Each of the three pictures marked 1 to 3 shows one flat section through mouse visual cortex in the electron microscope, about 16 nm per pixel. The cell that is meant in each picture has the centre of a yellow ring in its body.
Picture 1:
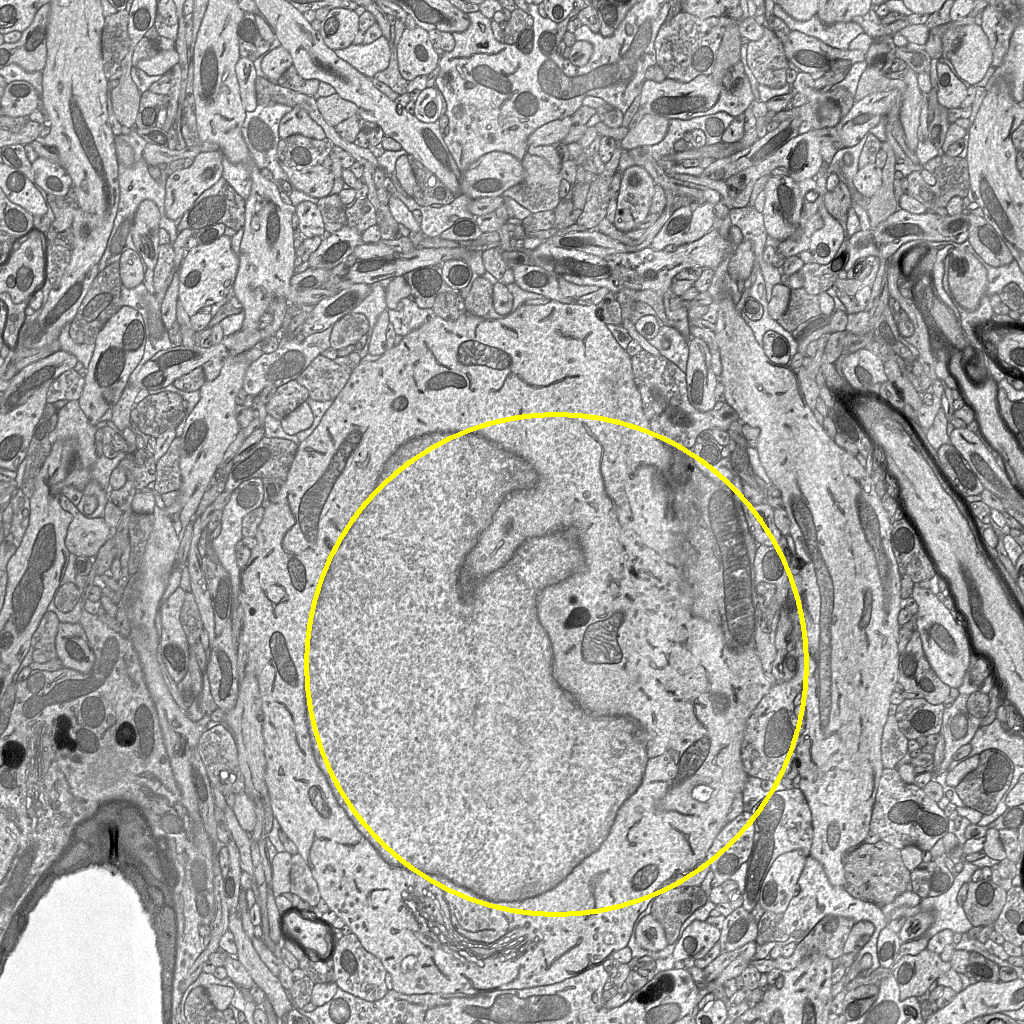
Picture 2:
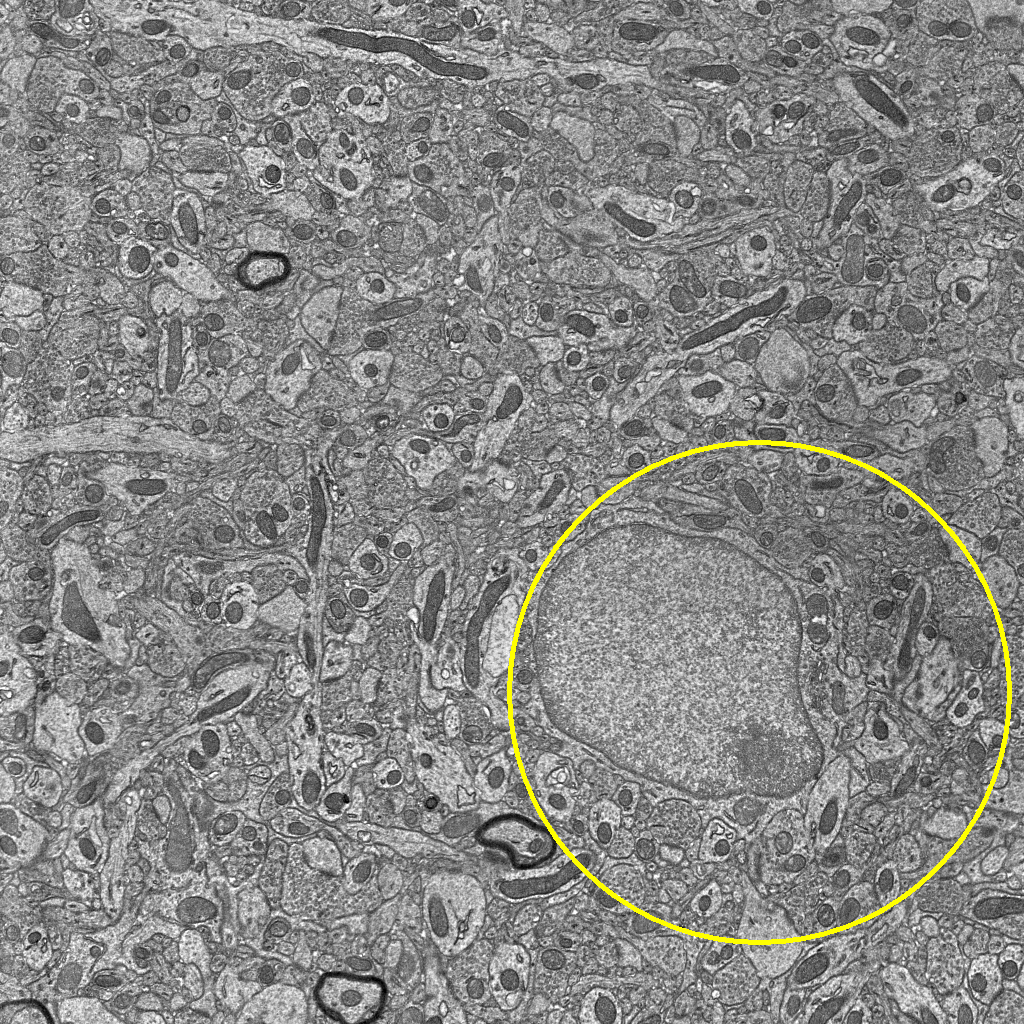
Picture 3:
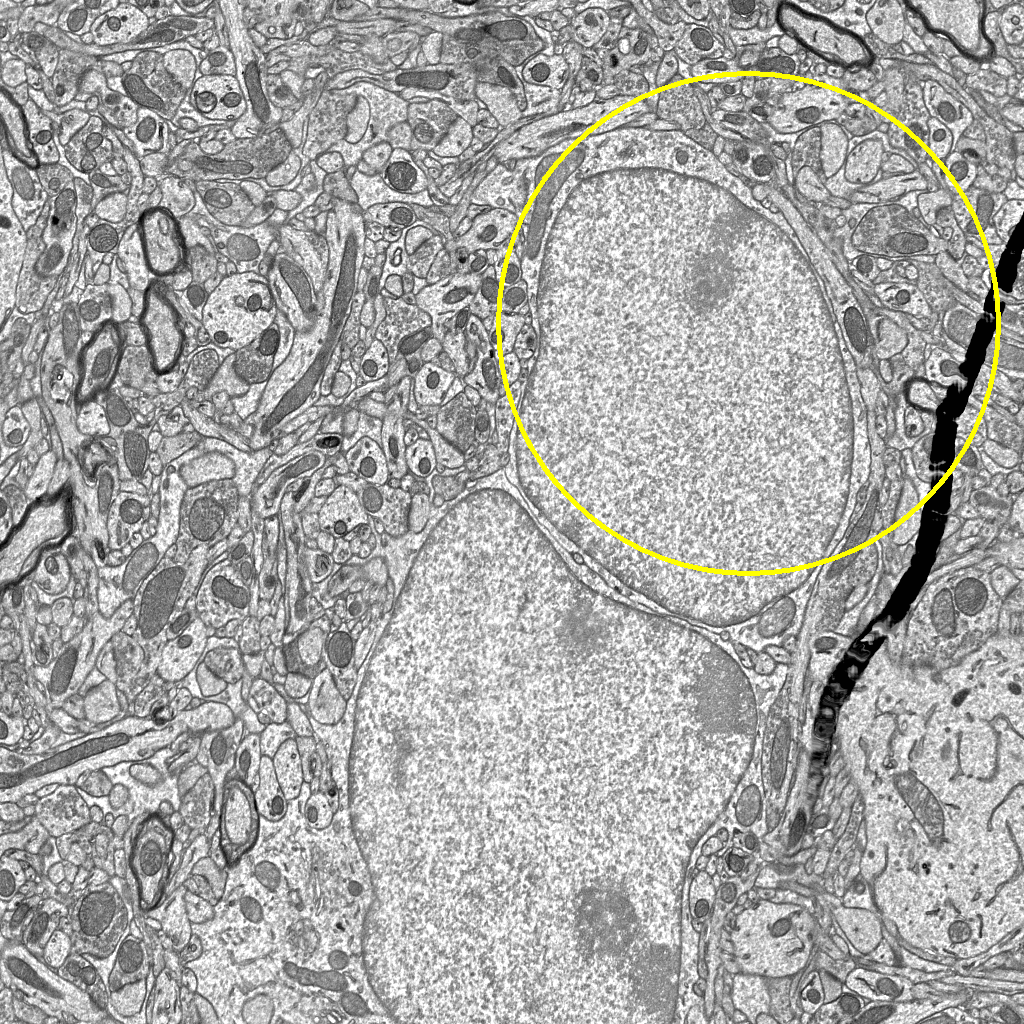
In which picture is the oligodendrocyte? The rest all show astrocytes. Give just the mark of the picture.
1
